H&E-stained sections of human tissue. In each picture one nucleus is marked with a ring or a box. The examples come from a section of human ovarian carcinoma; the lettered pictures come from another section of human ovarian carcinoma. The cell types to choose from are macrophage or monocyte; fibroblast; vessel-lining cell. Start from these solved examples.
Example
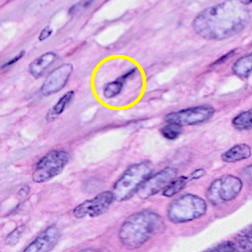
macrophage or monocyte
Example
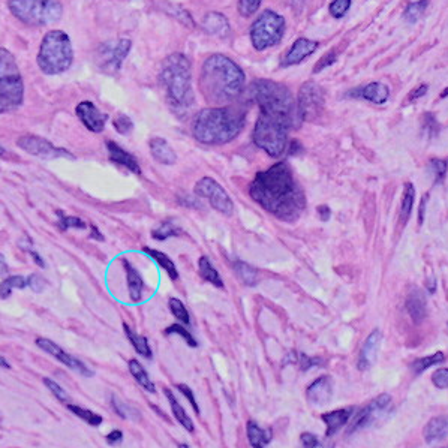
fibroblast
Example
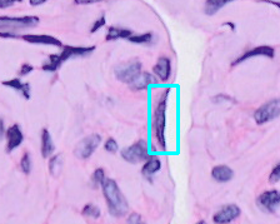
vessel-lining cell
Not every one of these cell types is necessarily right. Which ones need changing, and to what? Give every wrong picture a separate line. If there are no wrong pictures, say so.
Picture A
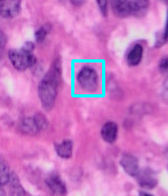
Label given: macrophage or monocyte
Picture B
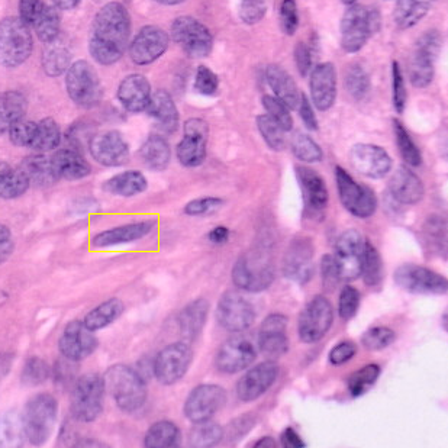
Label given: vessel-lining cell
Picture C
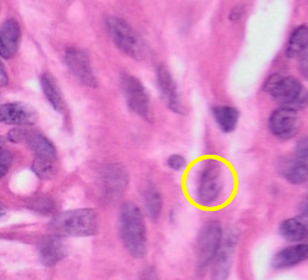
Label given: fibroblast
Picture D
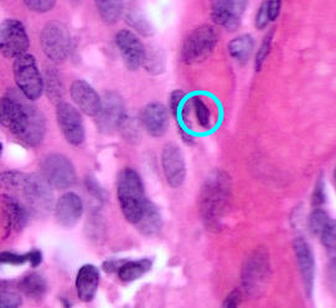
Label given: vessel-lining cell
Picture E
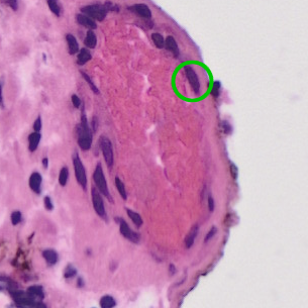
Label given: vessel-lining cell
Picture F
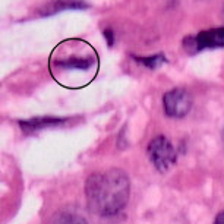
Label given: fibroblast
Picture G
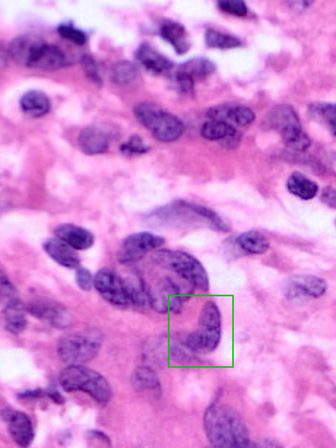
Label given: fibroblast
G: vessel-lining cell, not fibroblast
